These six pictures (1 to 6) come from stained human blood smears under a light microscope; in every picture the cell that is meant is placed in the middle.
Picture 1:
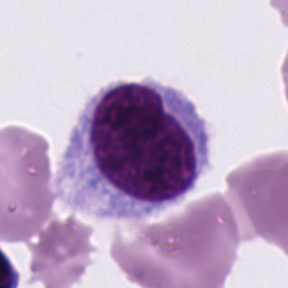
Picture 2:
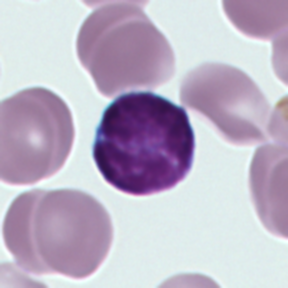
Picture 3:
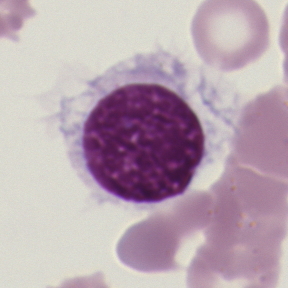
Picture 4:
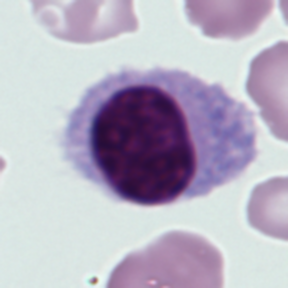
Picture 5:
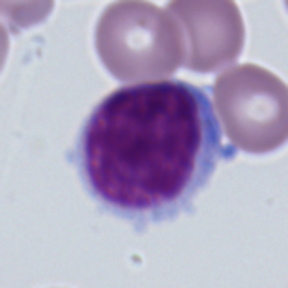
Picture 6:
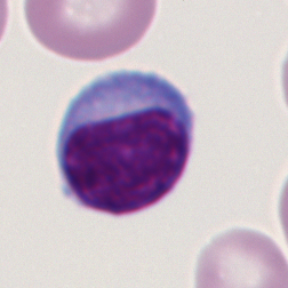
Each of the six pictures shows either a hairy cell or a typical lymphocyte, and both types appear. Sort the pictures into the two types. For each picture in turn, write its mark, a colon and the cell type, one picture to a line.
1: hairy cell
2: typical lymphocyte
3: hairy cell
4: hairy cell
5: typical lymphocyte
6: typical lymphocyte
